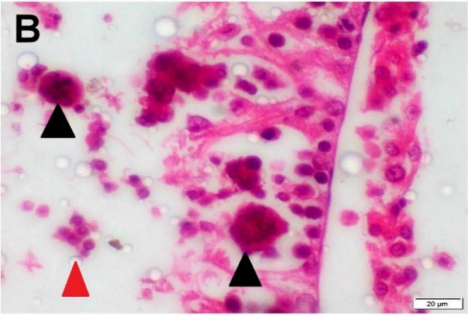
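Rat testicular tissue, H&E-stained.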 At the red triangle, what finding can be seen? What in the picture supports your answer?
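Desquamated germ cells. Small rounded cells lie loose in the lumen. They are detached from the tubule wall.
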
